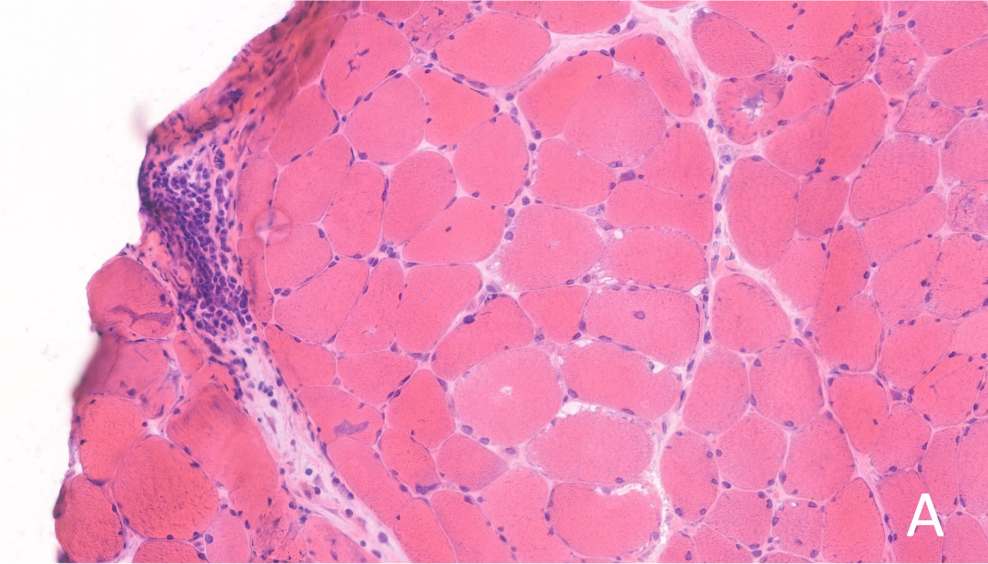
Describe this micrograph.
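This is skeletal muscle cut in cross-section, with polygonal to rounded pink muscle fibers of varying size packed into a fascicle. Each fiber has a few small dark nuclei, mostly at its rim, and thin pale strands of connective tissue run between the fibers. At the left edge of the fascicle a dense band of small, round, dark purple nuclei with little cytoplasm sits in the connective tissue between fibers. Fibers vary in size across the field, and some appear rounded rather than tightly polygonal.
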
